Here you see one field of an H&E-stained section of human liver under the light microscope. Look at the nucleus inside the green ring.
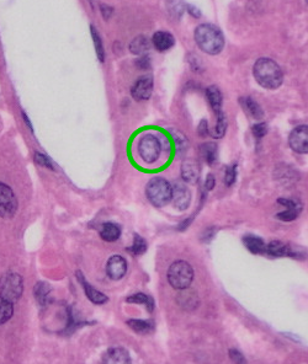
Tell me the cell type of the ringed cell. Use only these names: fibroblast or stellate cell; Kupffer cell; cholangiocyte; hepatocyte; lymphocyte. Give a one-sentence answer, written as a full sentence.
In cell-type terms, the ringed cell is a cholangiocyte.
